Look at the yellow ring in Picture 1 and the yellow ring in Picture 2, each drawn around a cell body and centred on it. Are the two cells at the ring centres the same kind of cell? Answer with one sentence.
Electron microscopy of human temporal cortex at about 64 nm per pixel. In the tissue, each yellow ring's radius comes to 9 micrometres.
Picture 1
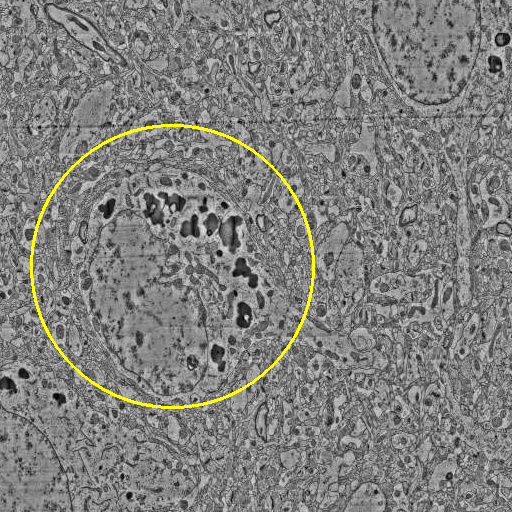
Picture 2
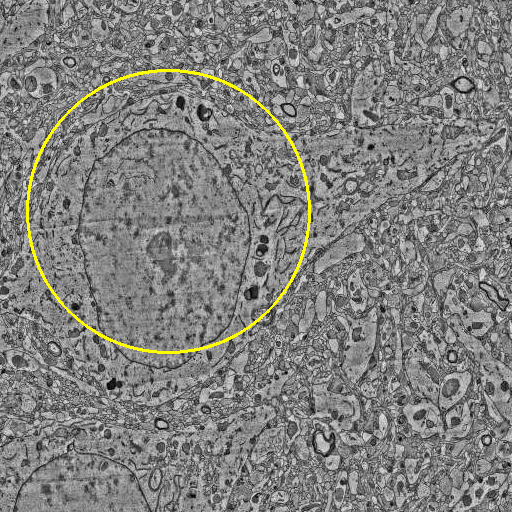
No, they are cells of two kinds.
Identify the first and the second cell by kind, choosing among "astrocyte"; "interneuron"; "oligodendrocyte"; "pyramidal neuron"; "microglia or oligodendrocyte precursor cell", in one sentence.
The one in the first picture is an interneuron, while the one in the second is a pyramidal neuron.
